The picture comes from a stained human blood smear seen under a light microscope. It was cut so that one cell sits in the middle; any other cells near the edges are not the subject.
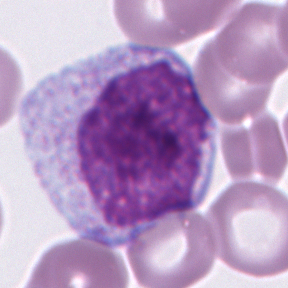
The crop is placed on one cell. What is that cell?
promyelocyte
